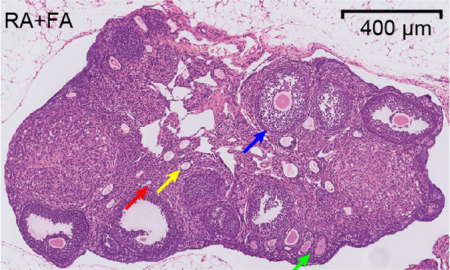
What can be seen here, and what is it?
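Ovary section in pink and purple with many follicles of differing sizes around a looser central region. Larger follicles show a round pink oocyte surrounded by multilayered purple granulosa cells, some with pale fluid-filled cavities. Small follicles lie in the cortex along the lower edge, and the central region contains pale spaces and small oval profiles.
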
